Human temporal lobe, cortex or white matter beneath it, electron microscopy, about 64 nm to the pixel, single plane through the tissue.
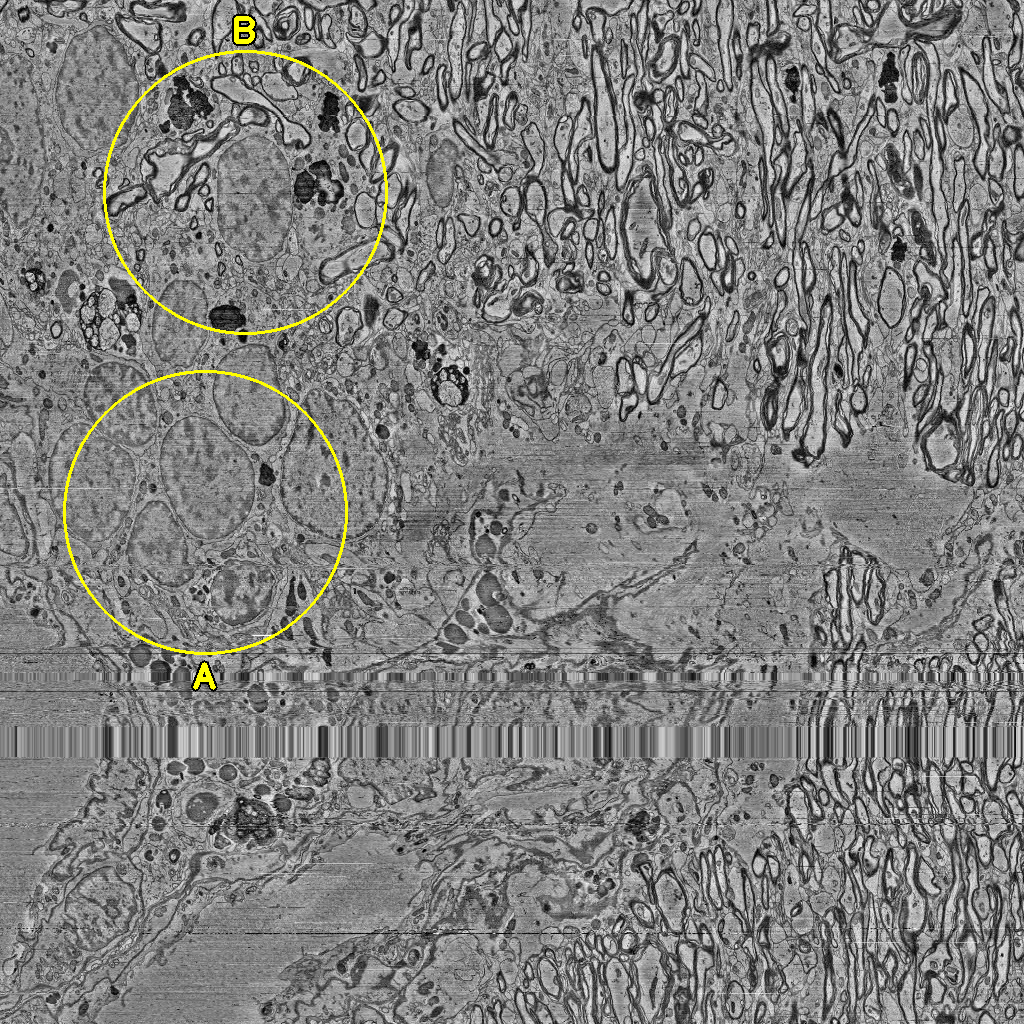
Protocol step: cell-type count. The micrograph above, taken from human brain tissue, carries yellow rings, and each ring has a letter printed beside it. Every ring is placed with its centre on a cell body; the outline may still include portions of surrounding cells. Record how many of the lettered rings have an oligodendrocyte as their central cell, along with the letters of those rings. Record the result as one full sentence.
Of all the rings, two are each centred on an oligodendrocyte, and these carry the letters A and B.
